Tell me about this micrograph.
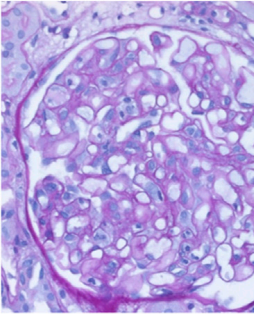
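This is a single glomerulus seen at high power, sitting inside its capsule with a clear rim of urinary space around the tuft. The tuft is busy with blue nuclei, both in the capillary lumens and in the supporting stalks between the loops. Around the capsule you can see cut profiles of tubules with pale pink cytoplasm and round nuclei.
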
